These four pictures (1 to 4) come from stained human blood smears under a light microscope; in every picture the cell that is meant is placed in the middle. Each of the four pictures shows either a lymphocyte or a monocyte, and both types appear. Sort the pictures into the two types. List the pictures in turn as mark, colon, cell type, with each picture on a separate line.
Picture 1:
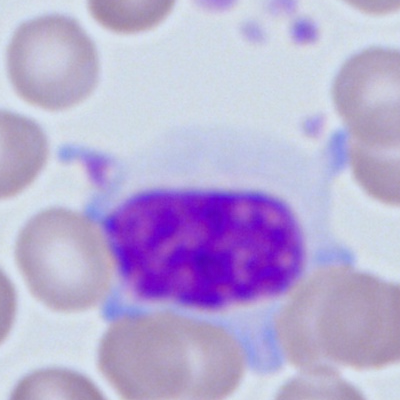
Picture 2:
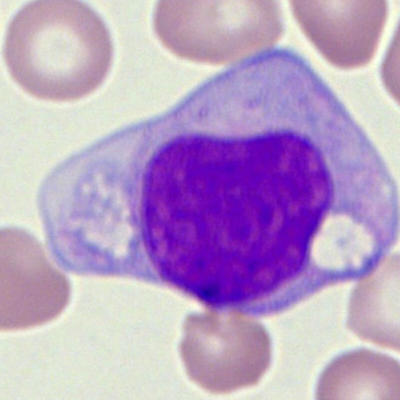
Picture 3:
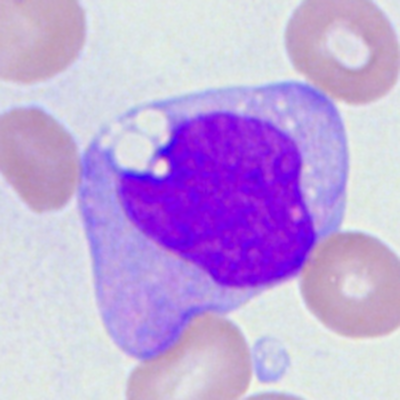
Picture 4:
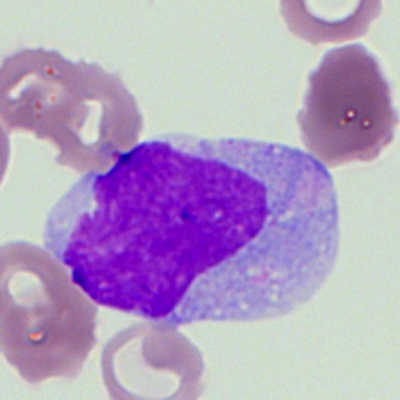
1: lymphocyte
2: monocyte
3: monocyte
4: monocyte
